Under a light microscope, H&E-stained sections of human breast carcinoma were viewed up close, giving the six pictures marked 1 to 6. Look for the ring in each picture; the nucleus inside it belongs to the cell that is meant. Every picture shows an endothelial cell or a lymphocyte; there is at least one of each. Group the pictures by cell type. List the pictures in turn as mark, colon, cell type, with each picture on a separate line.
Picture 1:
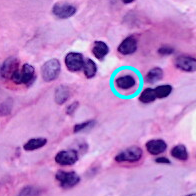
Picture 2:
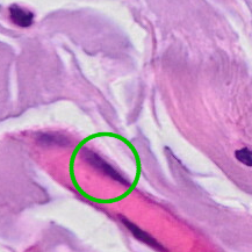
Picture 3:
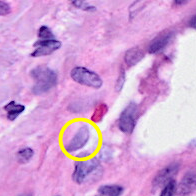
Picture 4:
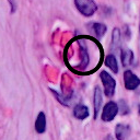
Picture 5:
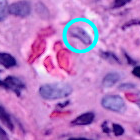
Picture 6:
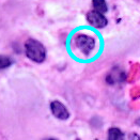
1: lymphocyte
2: endothelial cell
3: endothelial cell
4: endothelial cell
5: endothelial cell
6: lymphocyte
